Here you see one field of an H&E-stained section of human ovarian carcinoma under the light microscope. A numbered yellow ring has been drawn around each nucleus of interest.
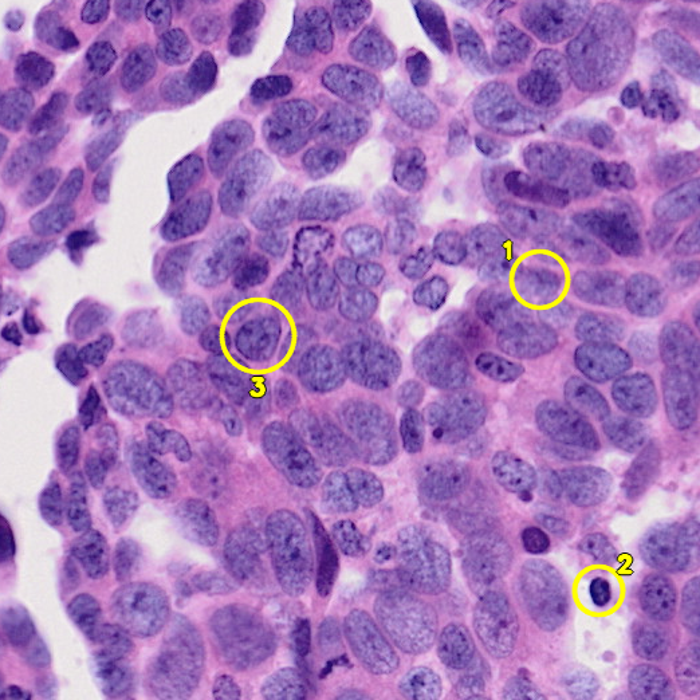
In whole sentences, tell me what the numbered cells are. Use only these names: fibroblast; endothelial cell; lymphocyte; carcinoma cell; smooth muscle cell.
Cells 1 and 3 are carcinoma cells. Cell 2 is a lymphocyte.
